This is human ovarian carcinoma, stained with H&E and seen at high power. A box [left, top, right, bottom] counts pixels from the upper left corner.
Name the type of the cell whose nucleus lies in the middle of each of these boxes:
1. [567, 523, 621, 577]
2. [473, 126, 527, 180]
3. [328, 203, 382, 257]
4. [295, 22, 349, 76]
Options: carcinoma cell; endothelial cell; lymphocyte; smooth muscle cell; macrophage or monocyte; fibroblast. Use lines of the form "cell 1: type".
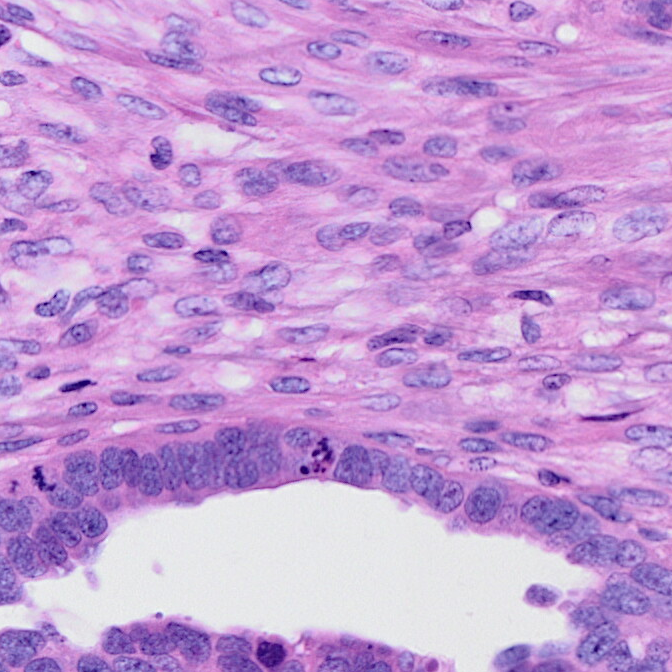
cell 1: carcinoma cell
cell 2: fibroblast
cell 3: fibroblast
cell 4: fibroblast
